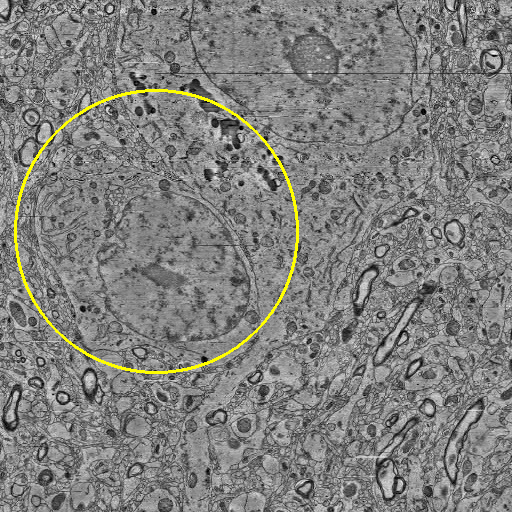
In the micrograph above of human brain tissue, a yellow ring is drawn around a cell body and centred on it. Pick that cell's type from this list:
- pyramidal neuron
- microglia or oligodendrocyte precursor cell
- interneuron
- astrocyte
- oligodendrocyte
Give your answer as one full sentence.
Going by the list, an interneuron is the cell on which the yellow ring is centred.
